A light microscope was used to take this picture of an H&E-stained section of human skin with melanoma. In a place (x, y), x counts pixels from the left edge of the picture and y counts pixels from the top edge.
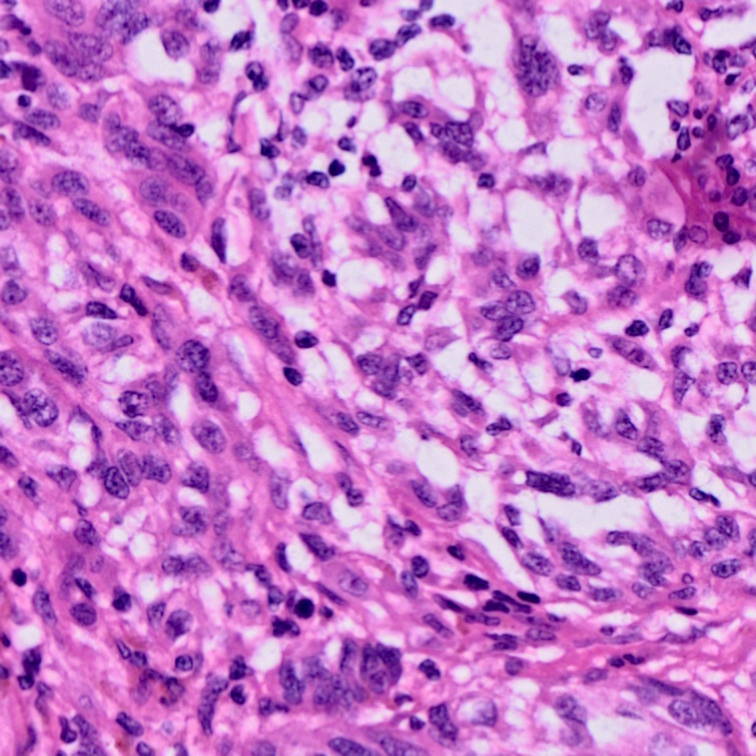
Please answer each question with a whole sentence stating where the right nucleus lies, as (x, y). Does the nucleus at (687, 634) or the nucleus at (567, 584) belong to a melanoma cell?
The nucleus of the pair that lies within a melanoma cell is at (567, 584).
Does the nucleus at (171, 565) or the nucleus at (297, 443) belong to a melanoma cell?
The nucleus whose position is (171, 565) belongs to a melanoma cell.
